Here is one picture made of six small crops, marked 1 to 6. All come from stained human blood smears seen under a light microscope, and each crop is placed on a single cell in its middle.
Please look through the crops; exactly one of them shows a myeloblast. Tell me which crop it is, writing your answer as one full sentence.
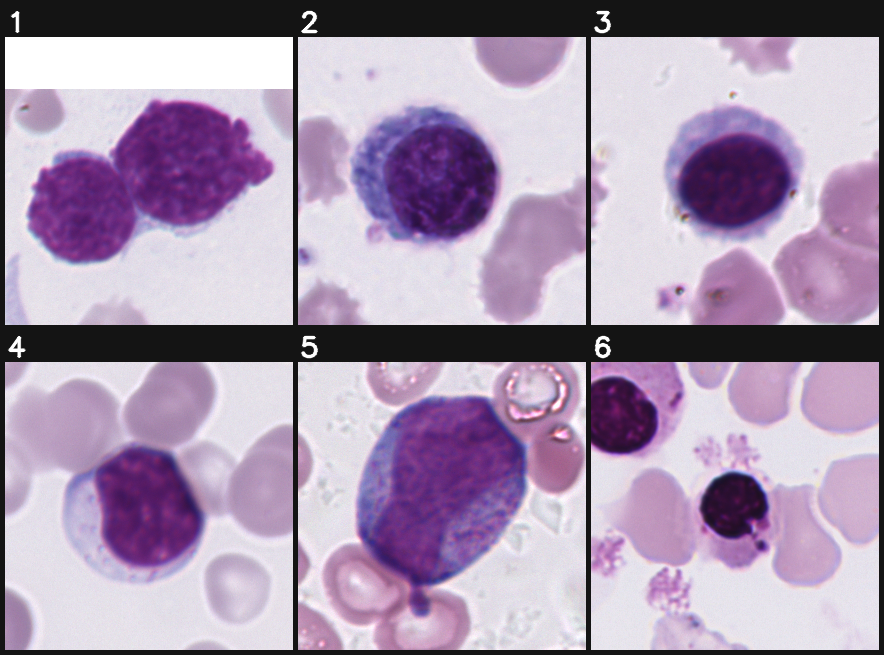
The crop that has a myeloblast in the middle is crop 1.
